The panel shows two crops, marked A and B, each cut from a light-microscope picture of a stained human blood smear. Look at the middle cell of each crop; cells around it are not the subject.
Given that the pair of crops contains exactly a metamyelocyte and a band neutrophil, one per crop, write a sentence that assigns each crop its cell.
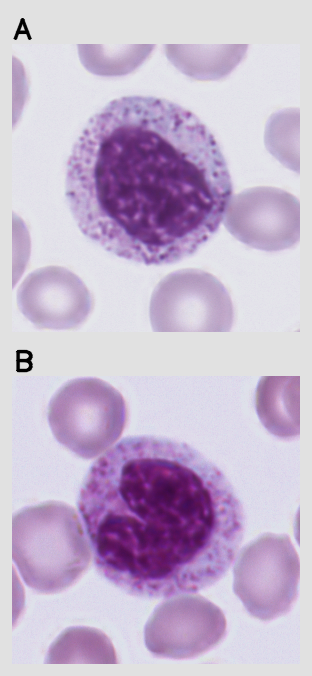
Crop A is a metamyelocyte, whilst crop B is a band neutrophil.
